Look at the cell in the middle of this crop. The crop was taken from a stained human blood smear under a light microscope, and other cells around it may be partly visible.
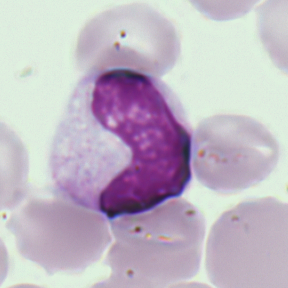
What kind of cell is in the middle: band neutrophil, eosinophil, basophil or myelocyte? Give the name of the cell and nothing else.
band neutrophil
